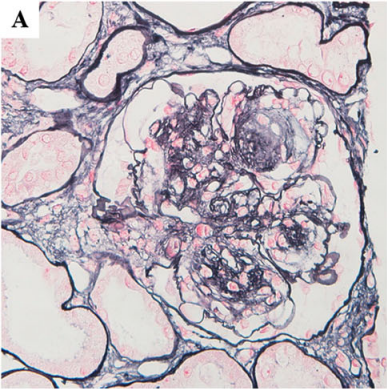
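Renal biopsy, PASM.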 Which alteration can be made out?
Sclerotic mesangial nodules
